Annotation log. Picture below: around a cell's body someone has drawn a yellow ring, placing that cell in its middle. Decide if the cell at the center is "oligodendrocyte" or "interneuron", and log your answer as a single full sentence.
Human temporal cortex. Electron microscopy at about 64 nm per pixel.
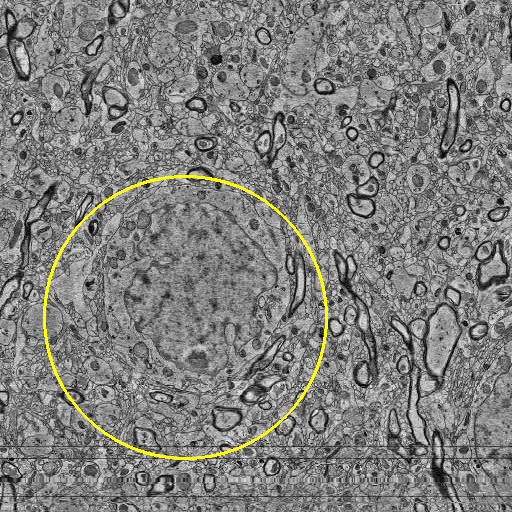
My entry records an interneuron as the cell sitting at the center of the yellow ring.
